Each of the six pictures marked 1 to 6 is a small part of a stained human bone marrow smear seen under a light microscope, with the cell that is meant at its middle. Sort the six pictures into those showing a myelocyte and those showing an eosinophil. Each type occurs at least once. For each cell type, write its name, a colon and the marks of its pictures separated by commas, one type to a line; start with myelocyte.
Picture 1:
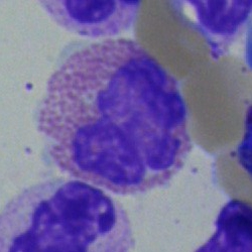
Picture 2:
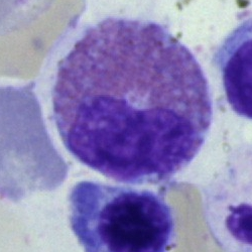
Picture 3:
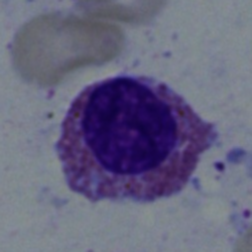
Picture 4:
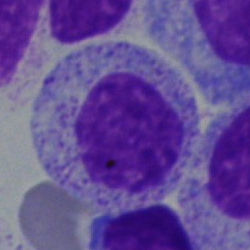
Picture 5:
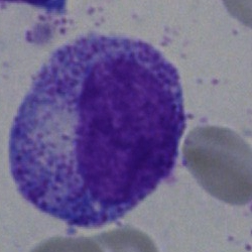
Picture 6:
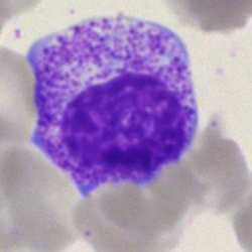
myelocyte: 4, 5, 6
eosinophil: 1, 2, 3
